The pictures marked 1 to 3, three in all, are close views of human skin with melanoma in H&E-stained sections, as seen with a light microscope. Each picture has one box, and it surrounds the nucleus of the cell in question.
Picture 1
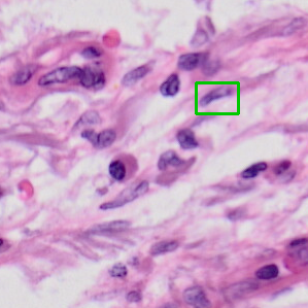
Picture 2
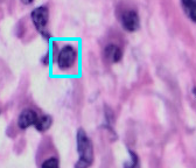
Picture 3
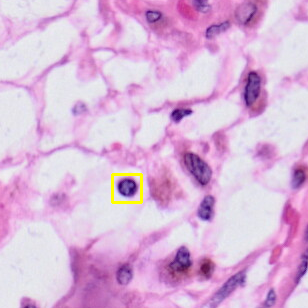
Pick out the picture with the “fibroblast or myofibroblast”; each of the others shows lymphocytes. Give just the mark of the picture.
1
